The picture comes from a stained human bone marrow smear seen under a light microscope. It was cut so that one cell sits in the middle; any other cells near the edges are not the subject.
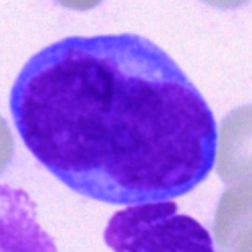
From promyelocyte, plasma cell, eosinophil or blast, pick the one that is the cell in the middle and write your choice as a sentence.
The cell centered in this field of view is a blast.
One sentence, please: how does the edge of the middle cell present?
Thanks for asking; the cell edge is smooth and has no projections.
